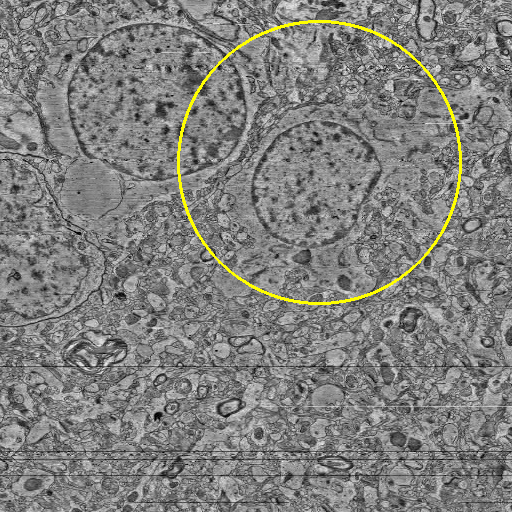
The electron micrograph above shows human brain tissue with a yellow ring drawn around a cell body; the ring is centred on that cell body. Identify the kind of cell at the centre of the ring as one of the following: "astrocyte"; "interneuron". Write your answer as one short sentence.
The cell at the centre of the ring is an astrocyte.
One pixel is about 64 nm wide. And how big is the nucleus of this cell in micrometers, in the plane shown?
About 8 micrometres across, as seen in this plane.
